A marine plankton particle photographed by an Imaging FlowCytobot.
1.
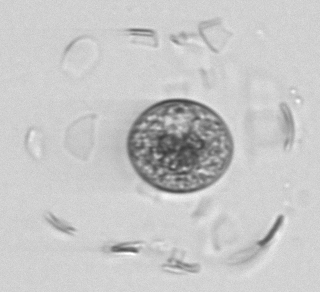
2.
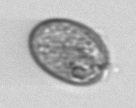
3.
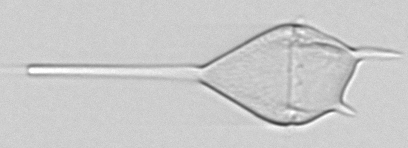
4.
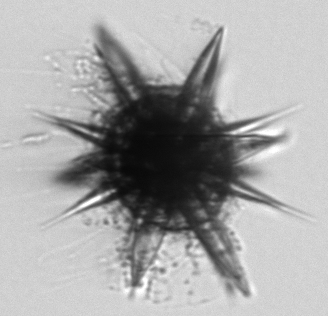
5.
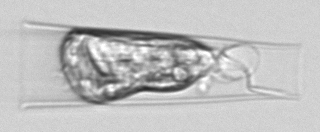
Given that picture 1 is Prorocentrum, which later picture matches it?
2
